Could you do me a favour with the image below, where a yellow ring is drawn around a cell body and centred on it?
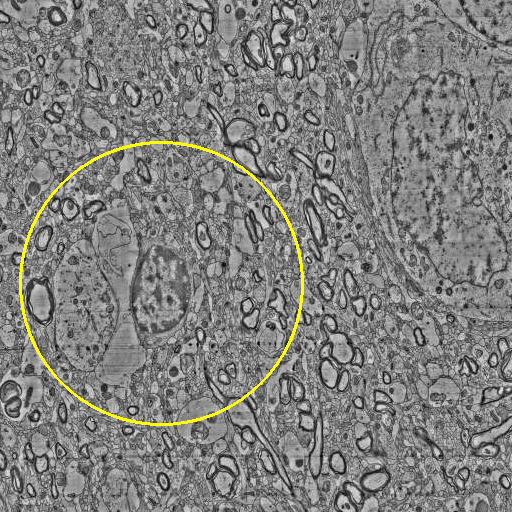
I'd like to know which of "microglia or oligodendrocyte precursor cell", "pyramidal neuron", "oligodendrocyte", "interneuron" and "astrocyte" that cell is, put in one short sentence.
The cell at the ring's centre is an oligodendrocyte.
